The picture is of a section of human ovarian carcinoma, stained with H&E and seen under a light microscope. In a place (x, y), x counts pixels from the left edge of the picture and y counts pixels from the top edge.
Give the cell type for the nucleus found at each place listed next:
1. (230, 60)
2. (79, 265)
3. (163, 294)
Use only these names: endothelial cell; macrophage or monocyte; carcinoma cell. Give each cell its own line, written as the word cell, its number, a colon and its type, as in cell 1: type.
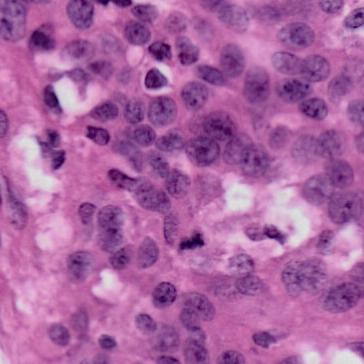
cell 1: carcinoma cell
cell 2: carcinoma cell
cell 3: macrophage or monocyte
